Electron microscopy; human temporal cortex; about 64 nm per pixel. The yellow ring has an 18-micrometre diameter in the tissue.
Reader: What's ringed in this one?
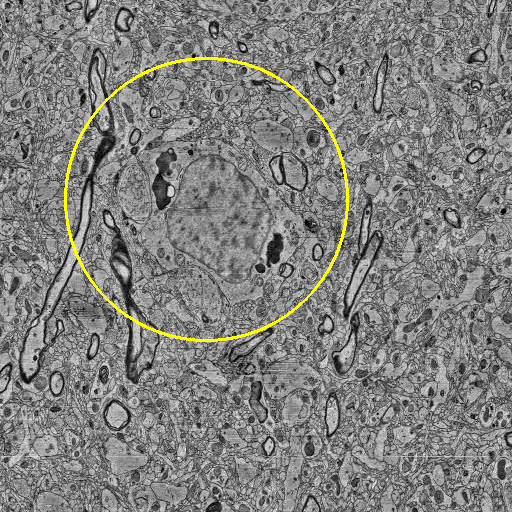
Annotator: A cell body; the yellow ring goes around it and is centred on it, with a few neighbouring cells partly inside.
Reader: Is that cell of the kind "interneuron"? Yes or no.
yes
